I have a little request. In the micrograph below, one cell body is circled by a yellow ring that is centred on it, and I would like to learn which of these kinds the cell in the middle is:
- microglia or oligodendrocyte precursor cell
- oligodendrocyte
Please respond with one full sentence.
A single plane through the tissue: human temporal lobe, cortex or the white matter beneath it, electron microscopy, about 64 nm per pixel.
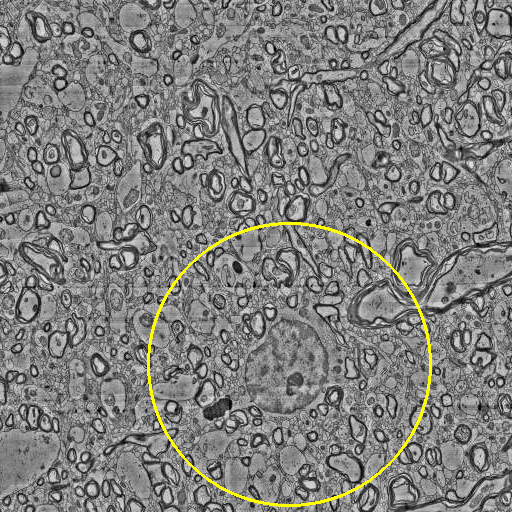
The cell sitting in the middle of the yellow ring in the micrograph is an oligodendrocyte.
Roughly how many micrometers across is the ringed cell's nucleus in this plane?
In this plane, the nucleus of the cell at the centre of the ring measures about 6 by 5 micrometres.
